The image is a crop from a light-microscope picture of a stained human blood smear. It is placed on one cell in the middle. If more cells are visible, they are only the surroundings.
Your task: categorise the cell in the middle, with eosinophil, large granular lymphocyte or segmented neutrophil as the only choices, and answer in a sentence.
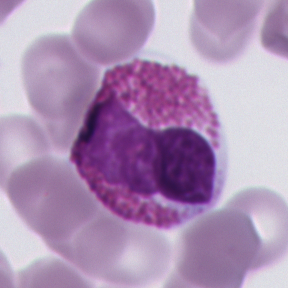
At the crop's centre, the cell is an eosinophil.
